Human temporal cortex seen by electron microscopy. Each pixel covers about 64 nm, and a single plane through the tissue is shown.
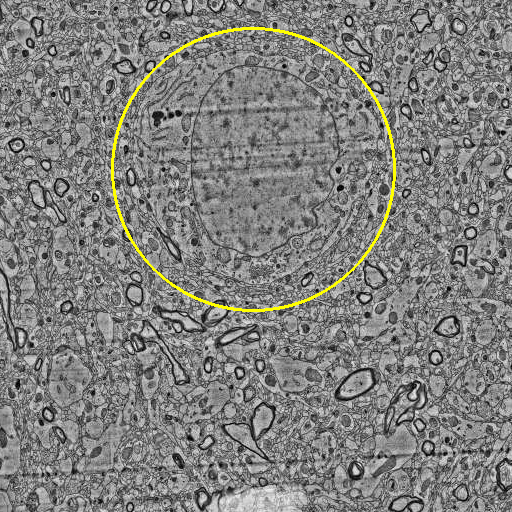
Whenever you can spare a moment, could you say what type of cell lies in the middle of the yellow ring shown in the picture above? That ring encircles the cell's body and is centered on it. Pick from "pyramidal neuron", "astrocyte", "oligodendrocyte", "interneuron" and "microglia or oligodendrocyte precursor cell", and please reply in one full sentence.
The cell whose body sits at the middle of the yellow ring is a pyramidal neuron.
